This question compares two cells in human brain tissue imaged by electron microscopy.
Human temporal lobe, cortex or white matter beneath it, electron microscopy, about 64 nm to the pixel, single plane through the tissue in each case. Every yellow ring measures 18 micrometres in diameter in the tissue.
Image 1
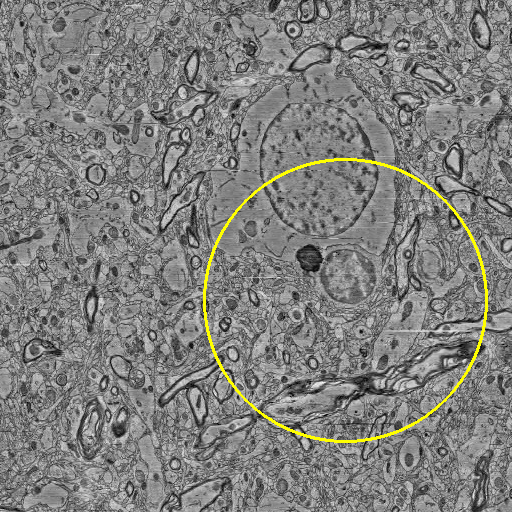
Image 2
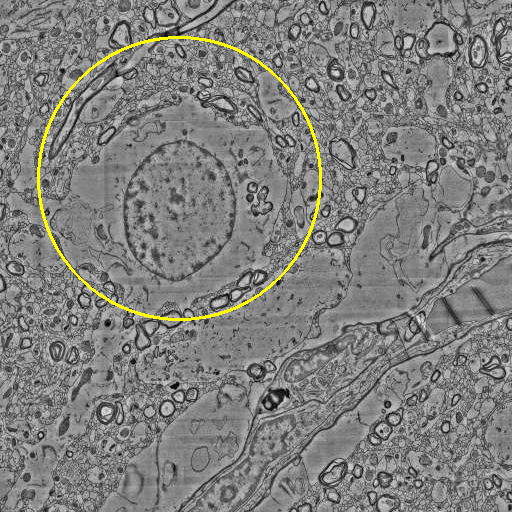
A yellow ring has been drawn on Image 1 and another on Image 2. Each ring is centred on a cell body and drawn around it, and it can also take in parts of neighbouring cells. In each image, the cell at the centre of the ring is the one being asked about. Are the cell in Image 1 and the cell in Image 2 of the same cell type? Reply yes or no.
no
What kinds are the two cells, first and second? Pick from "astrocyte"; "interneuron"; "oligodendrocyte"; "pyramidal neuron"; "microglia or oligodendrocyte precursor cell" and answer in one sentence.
The second picture holds an astrocyte in its ring, and the first holds an oligodendrocyte.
